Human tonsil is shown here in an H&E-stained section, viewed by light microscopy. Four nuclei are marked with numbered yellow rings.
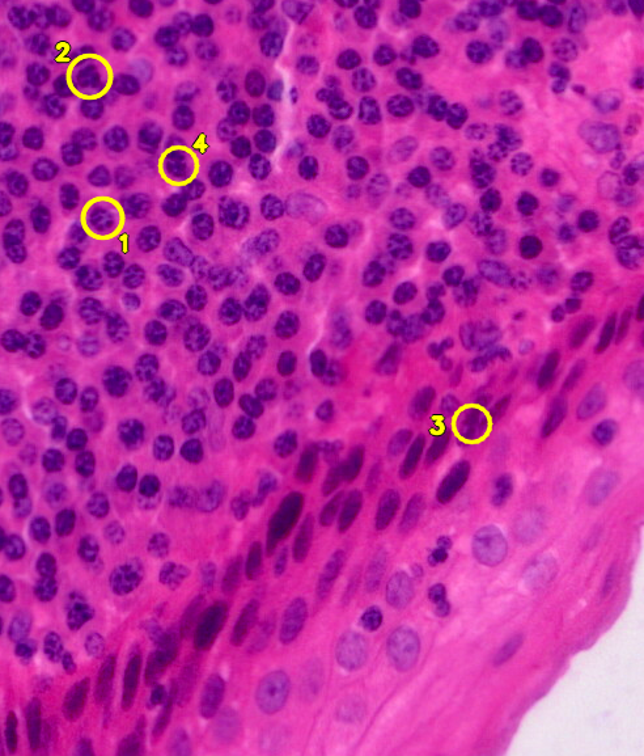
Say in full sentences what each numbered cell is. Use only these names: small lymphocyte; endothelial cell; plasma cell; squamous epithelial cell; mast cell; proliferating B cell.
Cell 1 is a plasma cell, cell 2 is a plasma cell, cell 3 is a squamous epithelial cell and cell 4 is a plasma cell.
